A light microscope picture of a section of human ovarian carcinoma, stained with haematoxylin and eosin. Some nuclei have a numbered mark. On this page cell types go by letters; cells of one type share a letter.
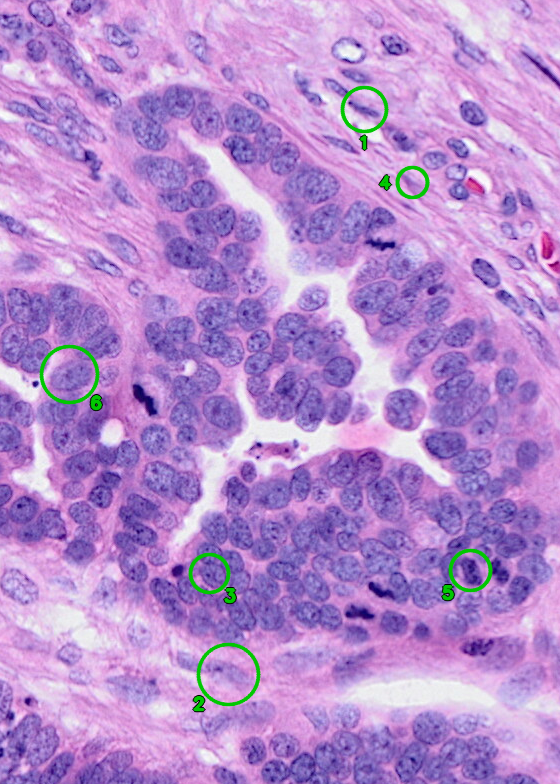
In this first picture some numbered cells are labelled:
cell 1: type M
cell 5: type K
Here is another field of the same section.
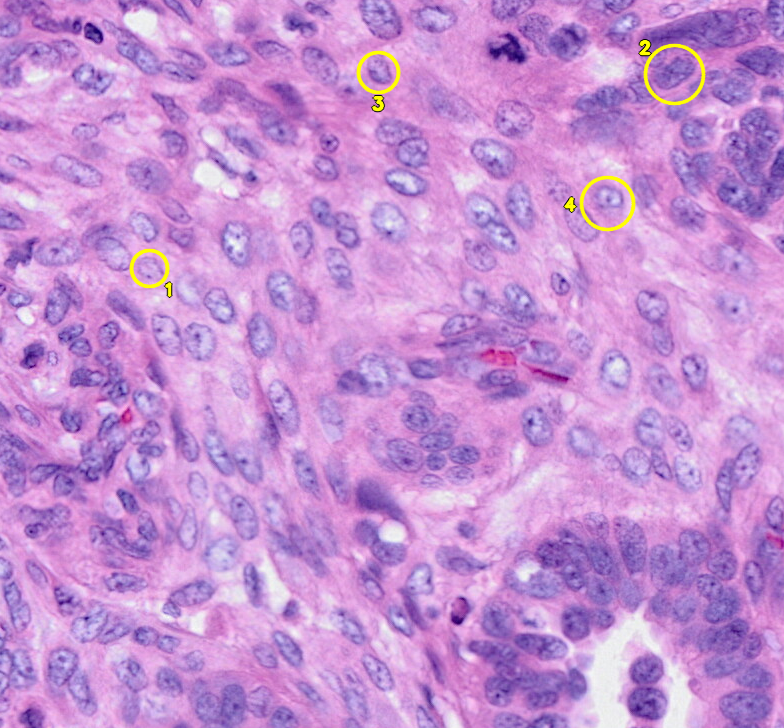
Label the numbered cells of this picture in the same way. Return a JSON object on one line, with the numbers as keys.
{"1": "type M", "2": "type K", "3": "type M", "4": "type M"}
